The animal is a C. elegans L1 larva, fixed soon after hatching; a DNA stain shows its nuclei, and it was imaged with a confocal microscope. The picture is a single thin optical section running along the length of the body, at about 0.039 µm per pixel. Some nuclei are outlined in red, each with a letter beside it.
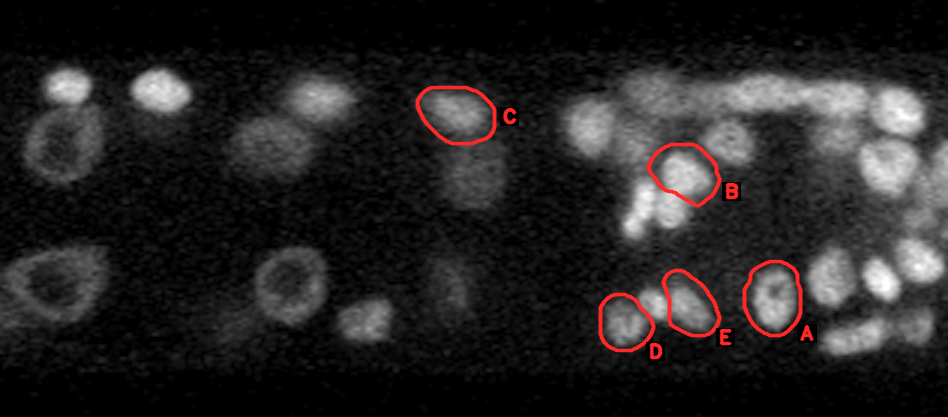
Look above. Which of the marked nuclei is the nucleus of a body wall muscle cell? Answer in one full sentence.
Nucleus D belongs to a body wall muscle cell.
